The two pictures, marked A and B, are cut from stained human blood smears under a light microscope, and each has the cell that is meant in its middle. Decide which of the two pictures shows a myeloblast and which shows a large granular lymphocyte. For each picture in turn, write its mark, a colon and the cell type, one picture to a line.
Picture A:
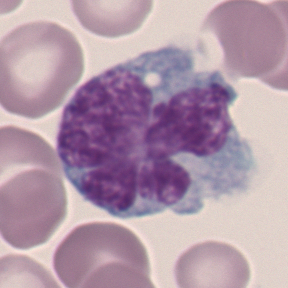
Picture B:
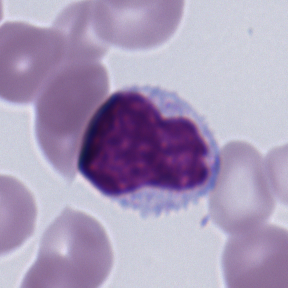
A: myeloblast
B: large granular lymphocyte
